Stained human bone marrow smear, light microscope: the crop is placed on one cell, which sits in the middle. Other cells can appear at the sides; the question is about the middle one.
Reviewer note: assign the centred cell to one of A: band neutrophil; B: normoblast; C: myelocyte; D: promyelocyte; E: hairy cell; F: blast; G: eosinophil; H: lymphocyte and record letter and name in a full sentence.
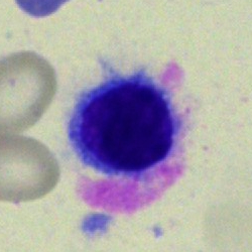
Of the choices given, option E is right, as the central cell is a hairy cell.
